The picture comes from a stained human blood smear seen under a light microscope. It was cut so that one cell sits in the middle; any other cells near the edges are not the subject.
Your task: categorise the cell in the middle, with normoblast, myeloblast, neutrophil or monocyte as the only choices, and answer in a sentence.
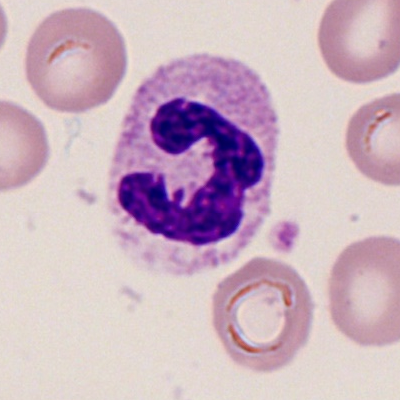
Seen at the centre of the crop is a neutrophil.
